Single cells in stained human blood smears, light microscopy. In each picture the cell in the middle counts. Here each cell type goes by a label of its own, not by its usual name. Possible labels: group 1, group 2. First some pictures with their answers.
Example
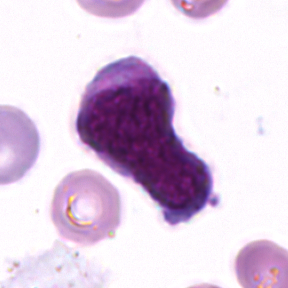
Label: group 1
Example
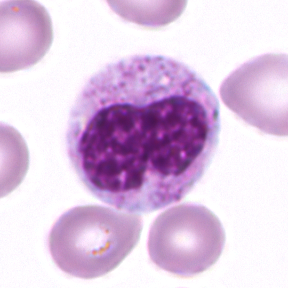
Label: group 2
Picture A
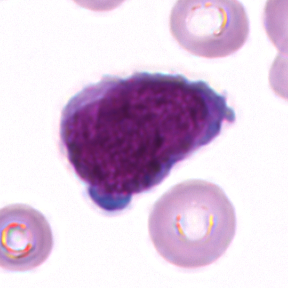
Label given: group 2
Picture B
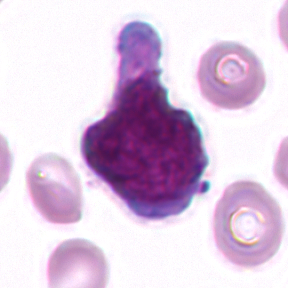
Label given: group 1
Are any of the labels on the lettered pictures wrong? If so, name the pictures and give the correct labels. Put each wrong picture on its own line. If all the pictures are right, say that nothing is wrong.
A should be group 1, not group 2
